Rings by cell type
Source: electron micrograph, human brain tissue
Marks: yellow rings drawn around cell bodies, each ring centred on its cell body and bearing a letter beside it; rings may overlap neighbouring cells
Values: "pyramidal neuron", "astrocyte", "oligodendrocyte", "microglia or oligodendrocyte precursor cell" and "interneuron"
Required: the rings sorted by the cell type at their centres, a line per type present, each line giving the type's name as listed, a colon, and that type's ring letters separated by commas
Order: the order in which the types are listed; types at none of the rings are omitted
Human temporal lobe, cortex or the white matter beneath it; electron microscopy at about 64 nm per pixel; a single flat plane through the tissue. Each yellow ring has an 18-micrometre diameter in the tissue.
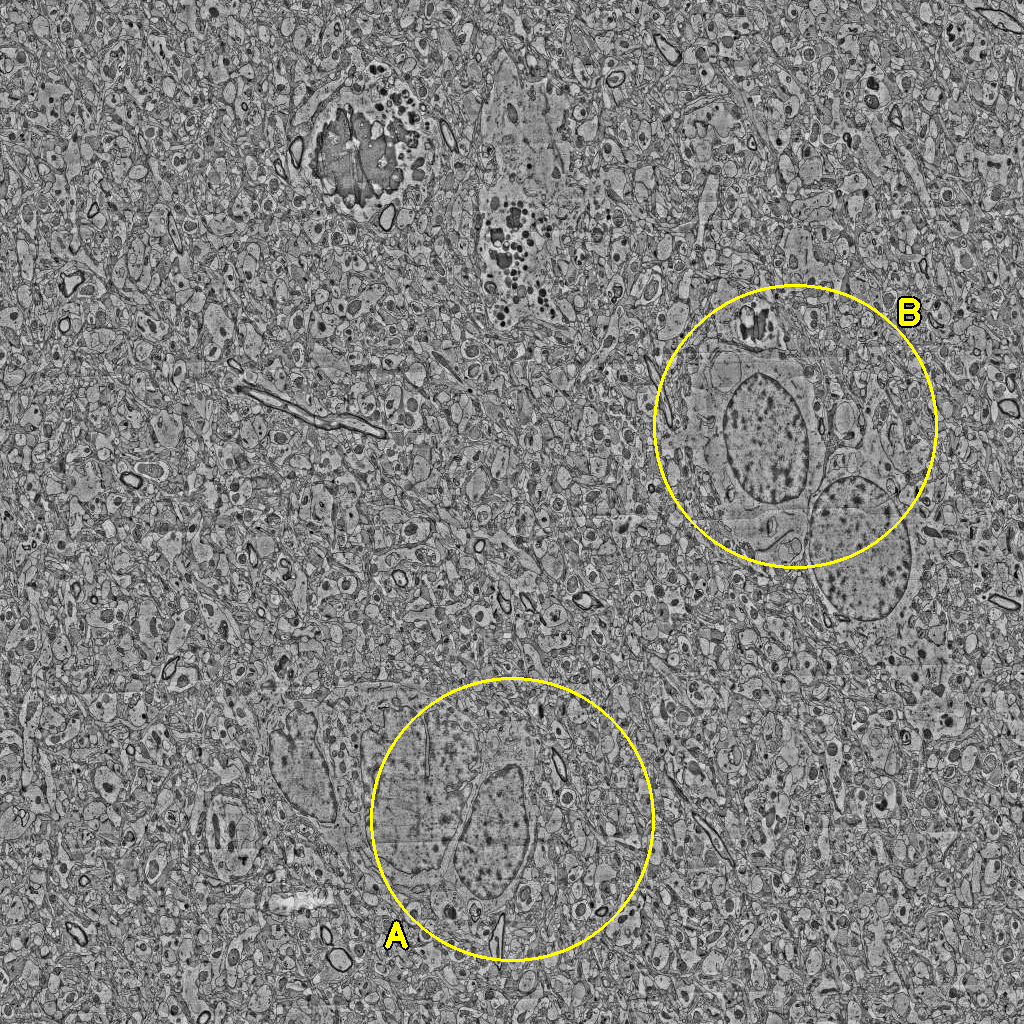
astrocyte: B
microglia or oligodendrocyte precursor cell: A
